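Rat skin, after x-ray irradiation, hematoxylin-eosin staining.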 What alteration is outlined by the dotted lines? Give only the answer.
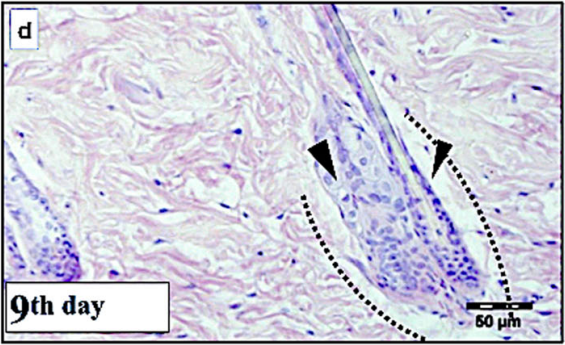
spaces between sebaceous gland plus hair follicle from the extracellular components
